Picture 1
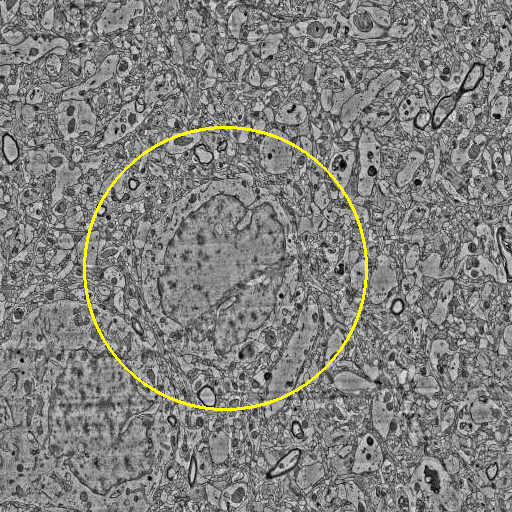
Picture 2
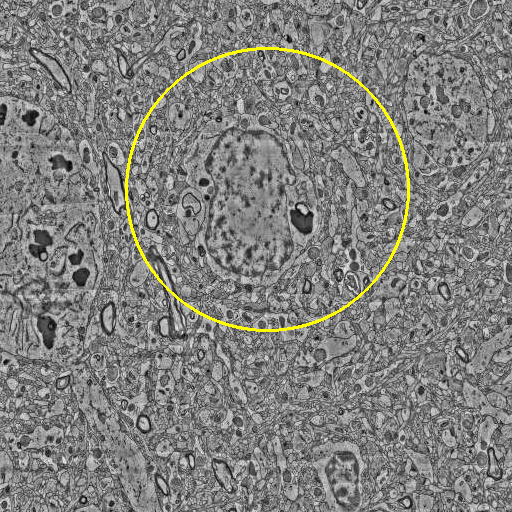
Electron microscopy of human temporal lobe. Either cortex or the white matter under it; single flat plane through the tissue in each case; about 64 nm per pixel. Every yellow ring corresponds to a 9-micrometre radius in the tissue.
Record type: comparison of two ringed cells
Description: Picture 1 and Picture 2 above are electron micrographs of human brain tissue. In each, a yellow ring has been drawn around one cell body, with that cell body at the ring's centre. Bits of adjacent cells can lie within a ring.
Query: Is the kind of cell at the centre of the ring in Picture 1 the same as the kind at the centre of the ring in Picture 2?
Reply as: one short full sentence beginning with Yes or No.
Yes, the two ringed cells are of the same kind.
